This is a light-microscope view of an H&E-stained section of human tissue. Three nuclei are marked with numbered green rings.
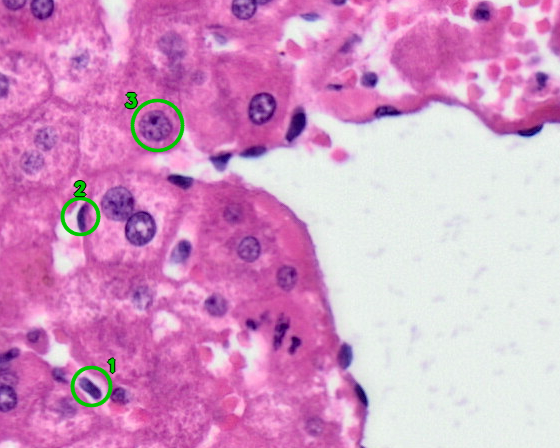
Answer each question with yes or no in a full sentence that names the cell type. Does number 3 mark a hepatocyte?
Yes, as for number 3, the cell is a hepatocyte.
